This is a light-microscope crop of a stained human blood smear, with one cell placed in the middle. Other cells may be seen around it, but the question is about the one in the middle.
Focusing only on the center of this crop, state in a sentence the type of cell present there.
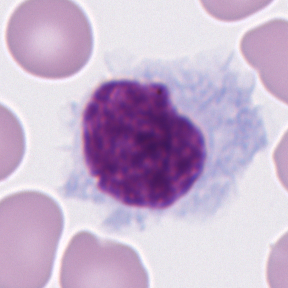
The cell that lies at the centre of the crop is a hairy cell.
